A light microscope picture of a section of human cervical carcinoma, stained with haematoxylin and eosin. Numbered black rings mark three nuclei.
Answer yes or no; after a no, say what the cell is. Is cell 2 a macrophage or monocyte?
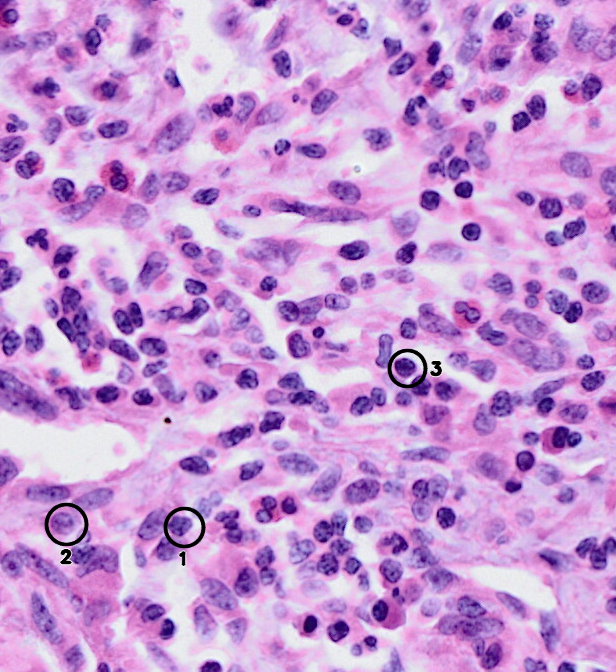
Yes.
